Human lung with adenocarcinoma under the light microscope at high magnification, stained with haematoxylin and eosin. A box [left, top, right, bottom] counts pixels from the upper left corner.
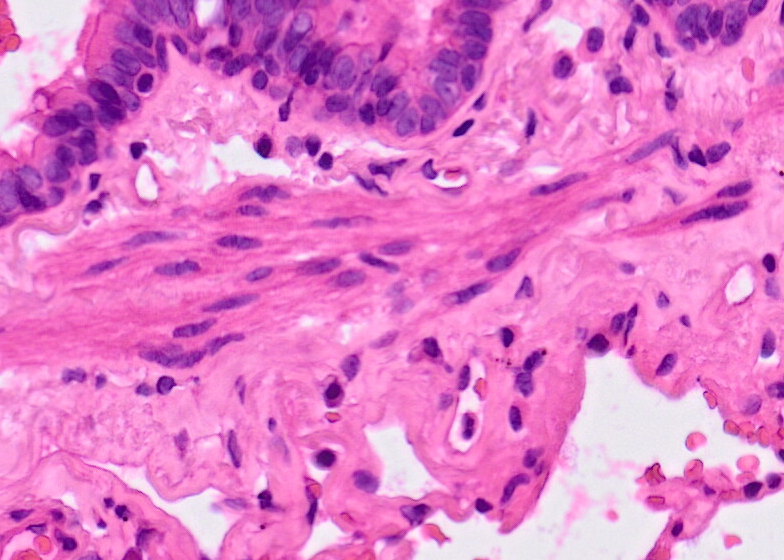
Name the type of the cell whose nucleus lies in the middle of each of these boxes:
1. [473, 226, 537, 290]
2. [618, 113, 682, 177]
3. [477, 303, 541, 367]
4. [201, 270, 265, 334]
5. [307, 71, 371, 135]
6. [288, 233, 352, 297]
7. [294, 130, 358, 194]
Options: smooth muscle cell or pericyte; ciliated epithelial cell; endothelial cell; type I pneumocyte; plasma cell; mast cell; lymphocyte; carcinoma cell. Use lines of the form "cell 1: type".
cell 1: smooth muscle cell or pericyte
cell 2: smooth muscle cell or pericyte
cell 3: mast cell
cell 4: smooth muscle cell or pericyte
cell 5: ciliated epithelial cell
cell 6: smooth muscle cell or pericyte
cell 7: lymphocyte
